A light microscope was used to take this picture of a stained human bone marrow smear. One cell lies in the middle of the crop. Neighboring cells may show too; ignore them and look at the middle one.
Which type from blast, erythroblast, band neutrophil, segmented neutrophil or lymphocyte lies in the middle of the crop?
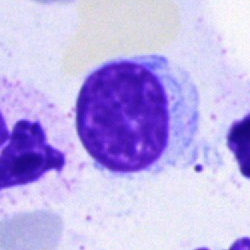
lymphocyte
